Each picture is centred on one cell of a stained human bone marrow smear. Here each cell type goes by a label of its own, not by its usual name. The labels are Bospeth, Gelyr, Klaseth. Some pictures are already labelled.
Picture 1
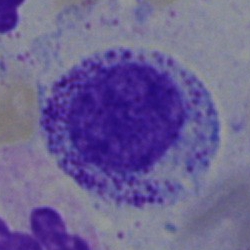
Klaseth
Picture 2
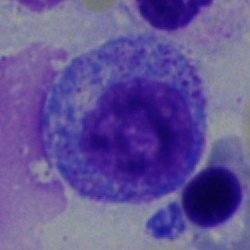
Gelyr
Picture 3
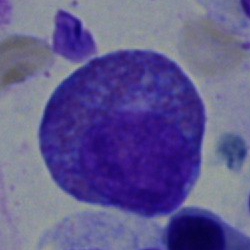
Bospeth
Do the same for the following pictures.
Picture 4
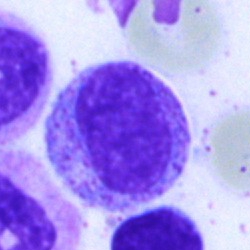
Klaseth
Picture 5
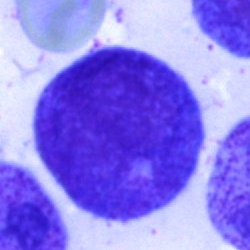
Gelyr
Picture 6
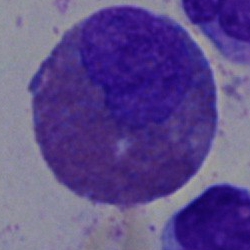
Bospeth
